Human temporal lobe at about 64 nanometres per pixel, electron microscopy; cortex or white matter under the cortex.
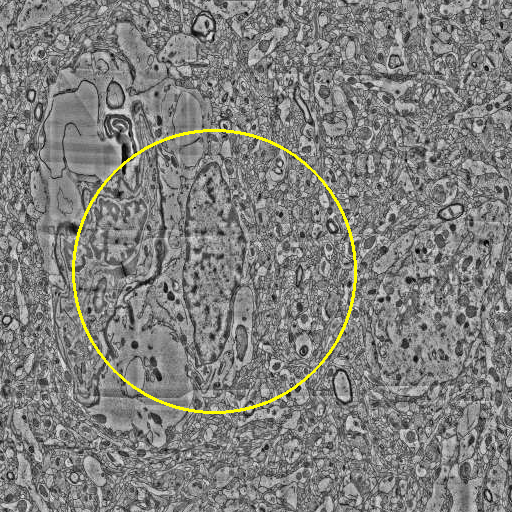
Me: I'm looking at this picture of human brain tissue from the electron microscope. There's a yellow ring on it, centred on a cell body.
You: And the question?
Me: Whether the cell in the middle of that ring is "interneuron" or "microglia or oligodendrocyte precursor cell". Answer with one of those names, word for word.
microglia or oligodendrocyte precursor cell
